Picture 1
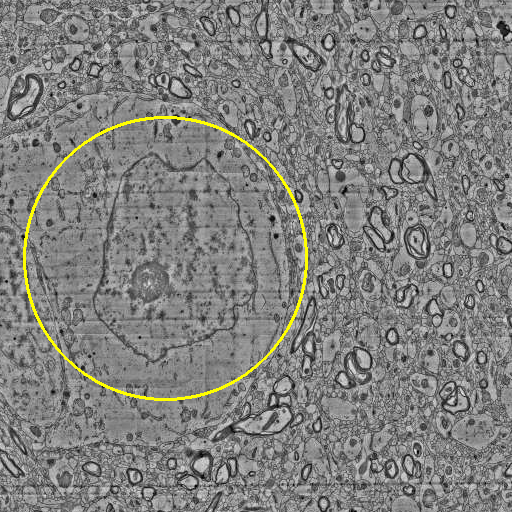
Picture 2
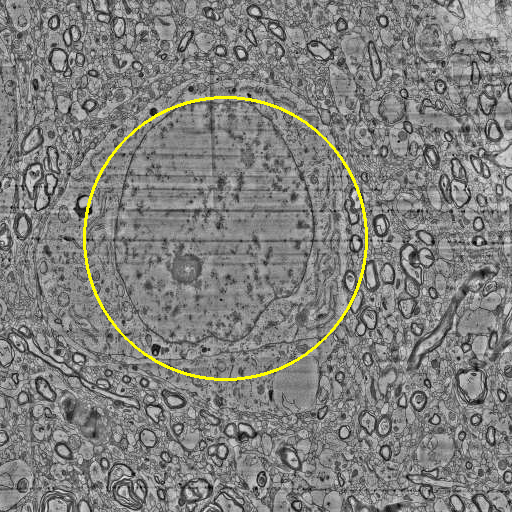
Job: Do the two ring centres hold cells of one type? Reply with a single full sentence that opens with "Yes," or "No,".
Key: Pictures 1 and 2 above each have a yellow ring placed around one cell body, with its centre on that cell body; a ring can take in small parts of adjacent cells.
Yes, the cells at the two ring centres are of one single type.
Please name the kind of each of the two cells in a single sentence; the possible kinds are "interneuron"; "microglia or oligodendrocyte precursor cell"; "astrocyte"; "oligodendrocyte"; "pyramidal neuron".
Each of the two pictures has a pyramidal neuron at the ring centre.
